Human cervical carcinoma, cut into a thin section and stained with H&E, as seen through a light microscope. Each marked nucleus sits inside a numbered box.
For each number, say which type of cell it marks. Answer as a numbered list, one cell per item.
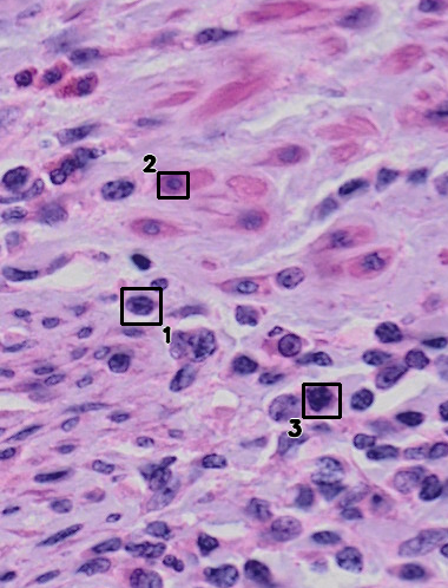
1. lymphocyte
2. smooth muscle cell
3. lymphocyte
